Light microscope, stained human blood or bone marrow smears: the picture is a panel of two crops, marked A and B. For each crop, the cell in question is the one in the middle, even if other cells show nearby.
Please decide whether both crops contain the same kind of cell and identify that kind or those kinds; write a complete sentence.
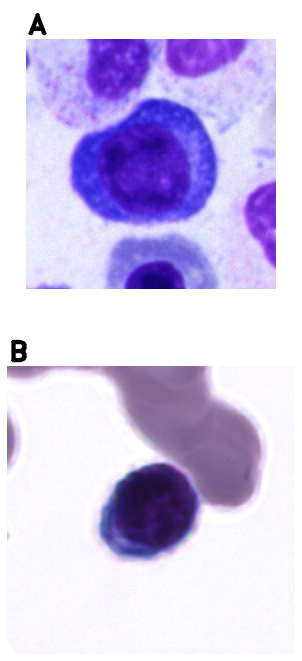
Yes, plasma cells are seen in both crops.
